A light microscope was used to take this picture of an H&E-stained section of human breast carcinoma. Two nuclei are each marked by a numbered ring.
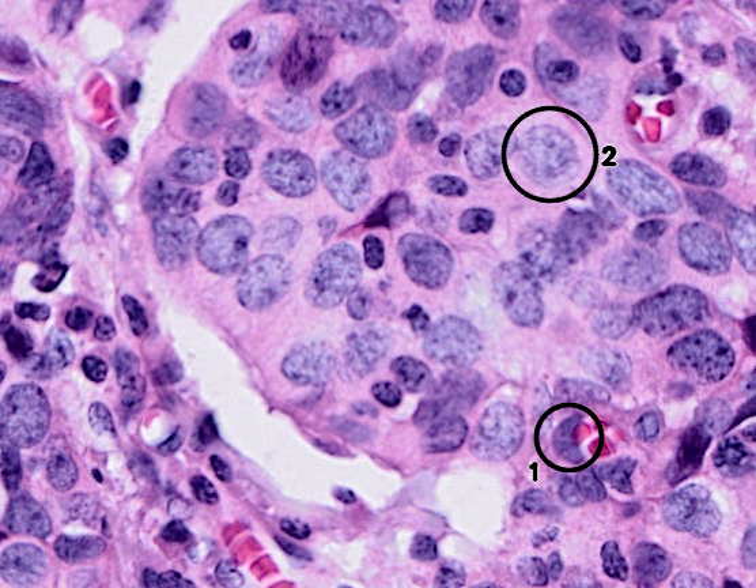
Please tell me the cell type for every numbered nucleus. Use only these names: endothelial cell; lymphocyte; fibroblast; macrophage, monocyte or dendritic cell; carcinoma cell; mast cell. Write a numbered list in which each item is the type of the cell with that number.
1. endothelial cell
2. carcinoma cell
